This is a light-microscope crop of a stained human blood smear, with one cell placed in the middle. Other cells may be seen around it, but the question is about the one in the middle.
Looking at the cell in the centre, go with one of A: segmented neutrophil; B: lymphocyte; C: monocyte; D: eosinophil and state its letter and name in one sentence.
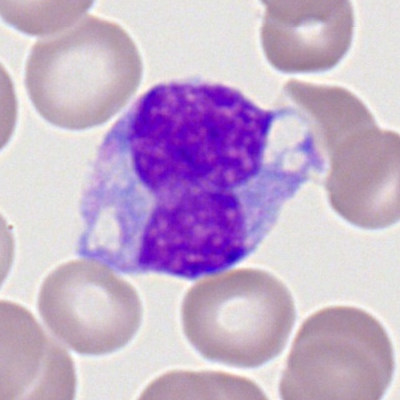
Since the middle cell is a monocyte, option C is the right one.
